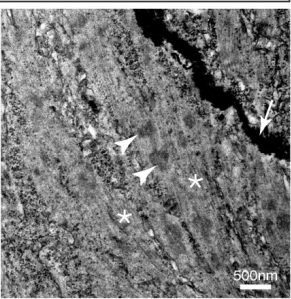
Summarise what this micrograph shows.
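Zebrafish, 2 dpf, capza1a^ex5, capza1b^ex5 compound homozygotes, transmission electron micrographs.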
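This is muscle tissue next to a myoseptum, which runs as a dark, irregular band at the upper right. The overall pattern is disordered, with no repeating transverse lines.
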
